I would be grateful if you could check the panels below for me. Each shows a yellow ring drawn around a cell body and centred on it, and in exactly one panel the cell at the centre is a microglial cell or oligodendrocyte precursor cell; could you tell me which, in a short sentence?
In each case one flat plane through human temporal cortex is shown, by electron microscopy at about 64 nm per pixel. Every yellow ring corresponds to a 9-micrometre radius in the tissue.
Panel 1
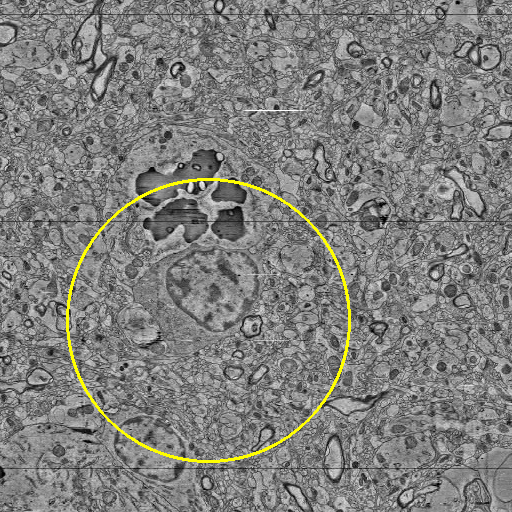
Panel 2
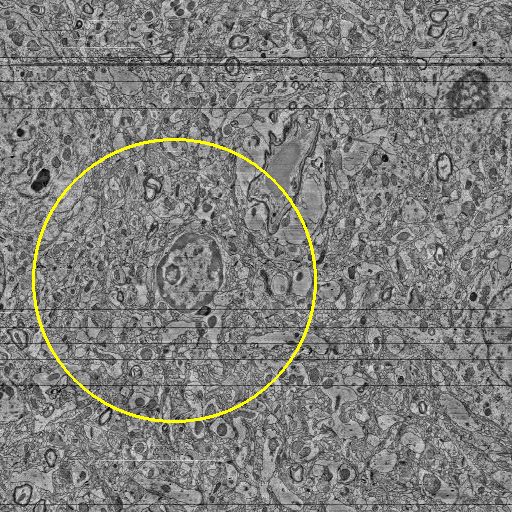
The ring in Panel 2 is centred on it.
